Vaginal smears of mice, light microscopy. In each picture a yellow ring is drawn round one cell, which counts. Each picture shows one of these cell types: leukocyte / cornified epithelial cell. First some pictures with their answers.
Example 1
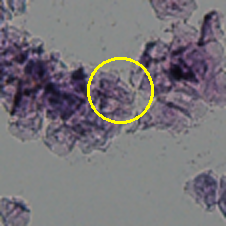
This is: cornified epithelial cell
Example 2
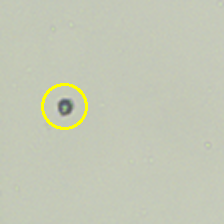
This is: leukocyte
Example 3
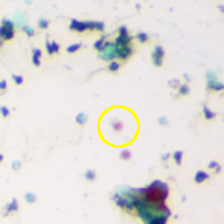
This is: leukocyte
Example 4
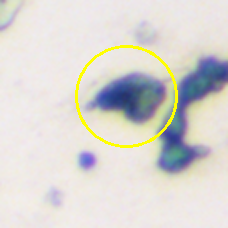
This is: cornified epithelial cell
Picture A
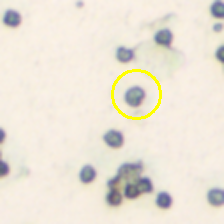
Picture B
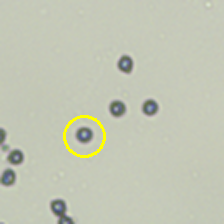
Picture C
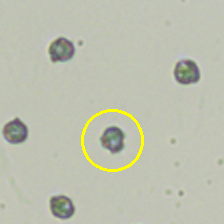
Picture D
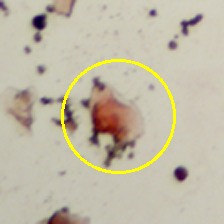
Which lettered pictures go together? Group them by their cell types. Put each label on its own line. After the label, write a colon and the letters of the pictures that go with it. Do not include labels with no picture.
leukocyte: A, B, C
cornified epithelial cell: D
